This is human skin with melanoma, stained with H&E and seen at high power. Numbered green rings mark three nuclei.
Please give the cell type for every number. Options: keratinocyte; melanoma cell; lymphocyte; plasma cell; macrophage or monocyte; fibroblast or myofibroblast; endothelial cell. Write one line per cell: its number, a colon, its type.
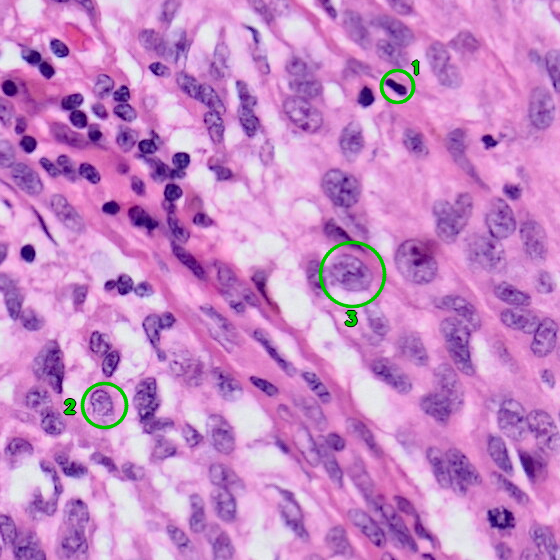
1: lymphocyte
2: melanoma cell
3: melanoma cell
